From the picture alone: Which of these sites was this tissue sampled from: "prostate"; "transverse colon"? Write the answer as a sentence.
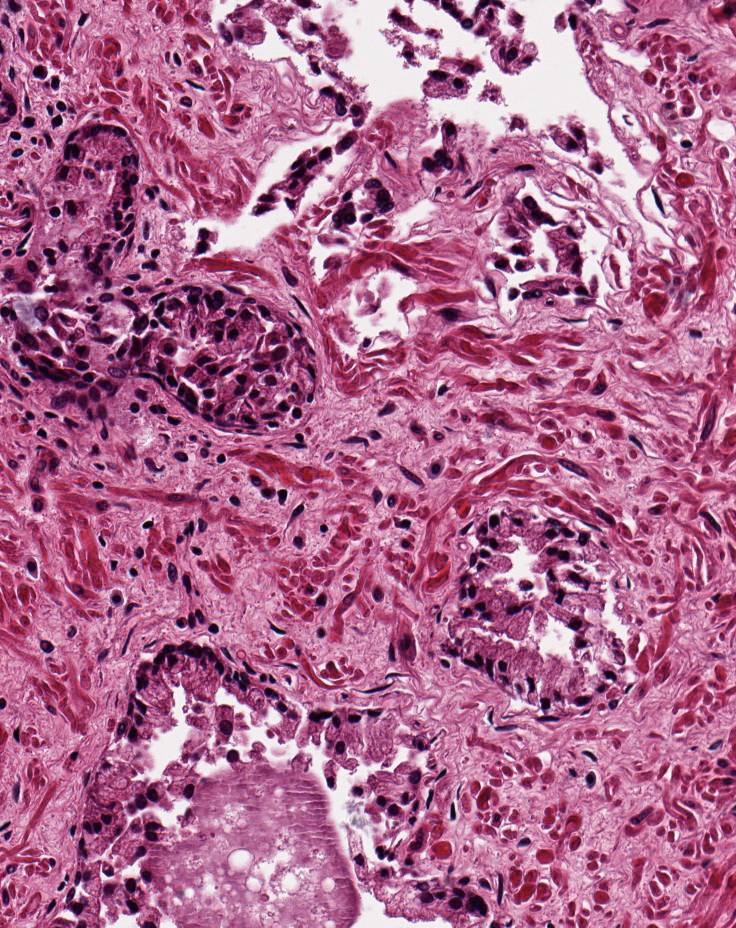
The site this tissue was sampled from is the prostate.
